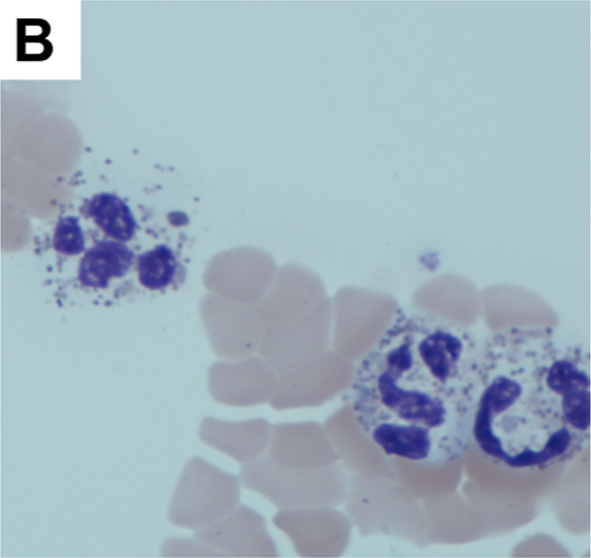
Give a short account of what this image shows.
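A peripheral blood smear shows polymorphonuclear leukocytes lying among pink, anucleate red blood cells. The leukocytes have purple nuclei divided into several lobes, some rounded and some curved and band-like. Their pale cytoplasm contains scattered dark purple granules that differ clearly in size, some noticeably coarse. A few granules also lie just outside the cell borders. The red blood cells are closely packed and pressed against each other beside the leukocytes.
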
